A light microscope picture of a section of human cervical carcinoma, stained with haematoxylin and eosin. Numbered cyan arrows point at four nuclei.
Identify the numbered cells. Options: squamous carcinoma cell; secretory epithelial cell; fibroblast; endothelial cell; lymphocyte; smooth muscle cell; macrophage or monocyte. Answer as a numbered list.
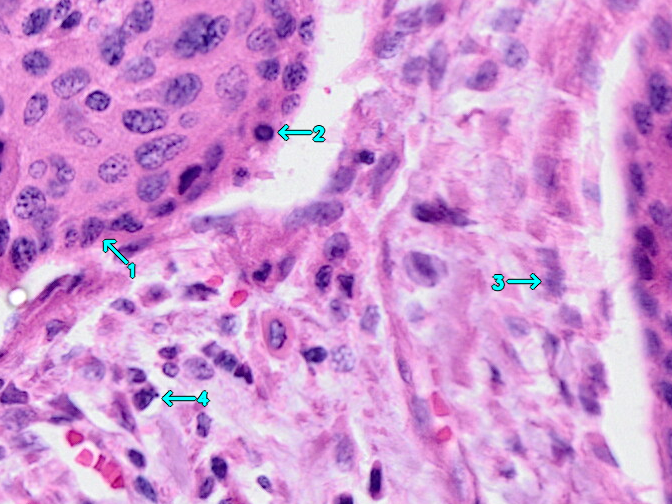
1. squamous carcinoma cell
2. squamous carcinoma cell
3. fibroblast
4. lymphocyte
